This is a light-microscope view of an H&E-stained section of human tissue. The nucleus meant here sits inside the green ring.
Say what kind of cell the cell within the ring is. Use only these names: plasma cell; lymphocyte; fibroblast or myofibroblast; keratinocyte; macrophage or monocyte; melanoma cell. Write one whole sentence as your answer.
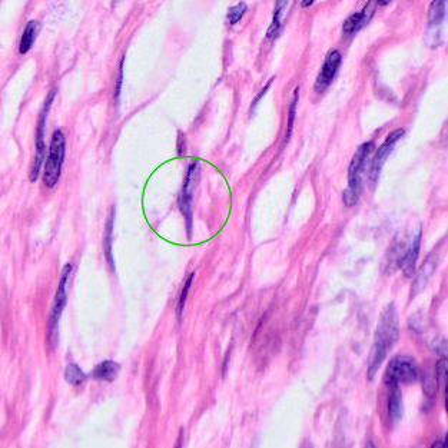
As for its identity, the cell within the ring is a fibroblast or myofibroblast.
